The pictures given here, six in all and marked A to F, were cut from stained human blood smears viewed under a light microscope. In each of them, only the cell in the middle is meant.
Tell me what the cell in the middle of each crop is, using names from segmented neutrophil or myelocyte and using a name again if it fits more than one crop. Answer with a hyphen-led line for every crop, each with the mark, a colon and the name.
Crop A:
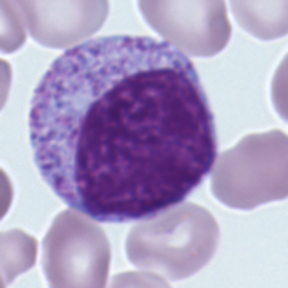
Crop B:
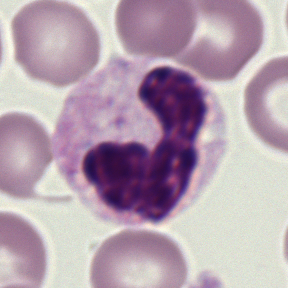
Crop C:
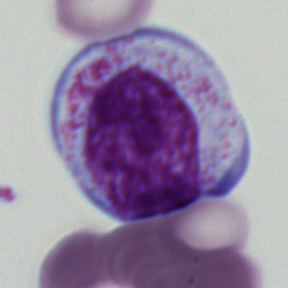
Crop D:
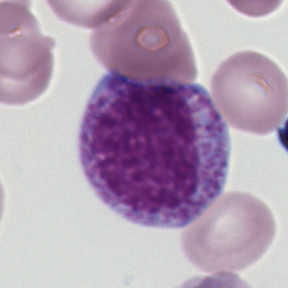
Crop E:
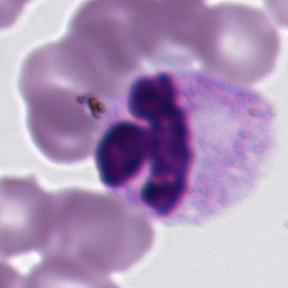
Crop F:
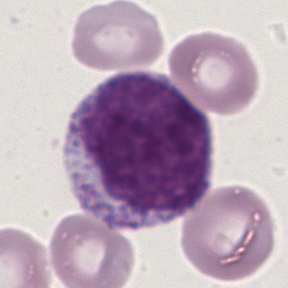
- A: myelocyte
- B: segmented neutrophil
- C: myelocyte
- D: myelocyte
- E: segmented neutrophil
- F: myelocyte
